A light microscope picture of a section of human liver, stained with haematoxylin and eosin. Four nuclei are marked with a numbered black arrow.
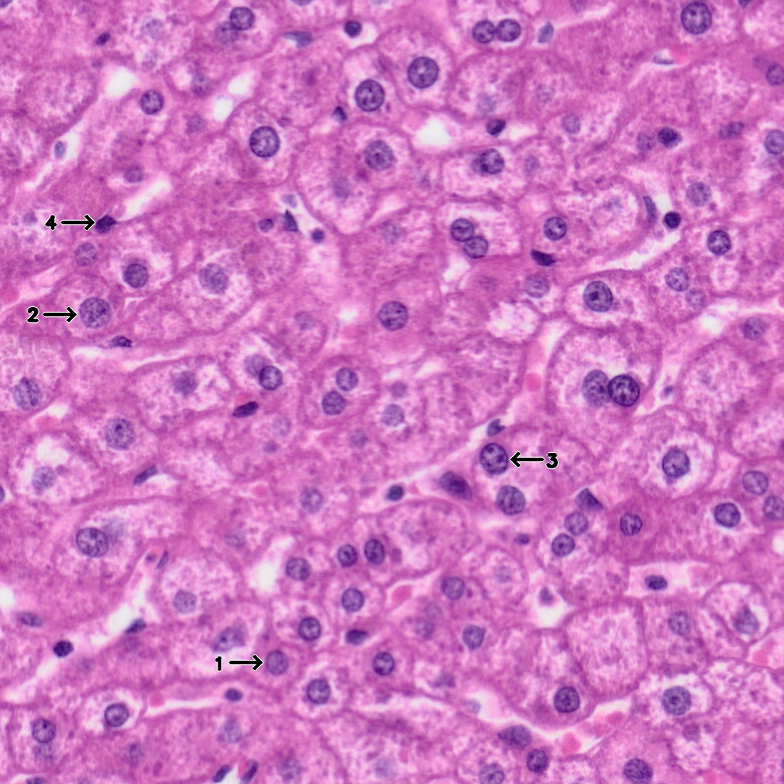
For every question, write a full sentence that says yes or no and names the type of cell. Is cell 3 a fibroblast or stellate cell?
No, the cell identified by number 3 is a hepatocyte, not a fibroblast or stellate cell.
